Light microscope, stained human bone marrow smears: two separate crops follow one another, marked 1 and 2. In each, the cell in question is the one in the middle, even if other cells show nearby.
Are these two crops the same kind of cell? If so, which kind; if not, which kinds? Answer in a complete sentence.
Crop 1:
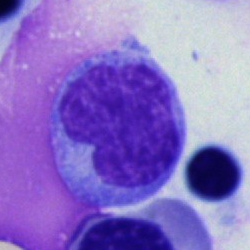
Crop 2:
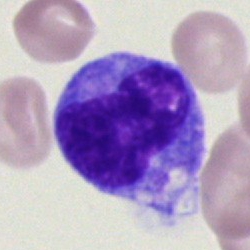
Yes, both crops show monocytes in their central position.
